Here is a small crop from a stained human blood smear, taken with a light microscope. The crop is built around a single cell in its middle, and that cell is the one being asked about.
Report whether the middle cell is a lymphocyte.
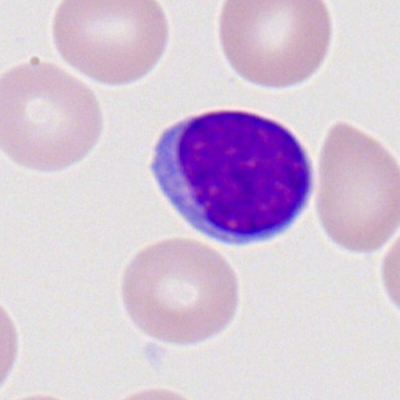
yes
